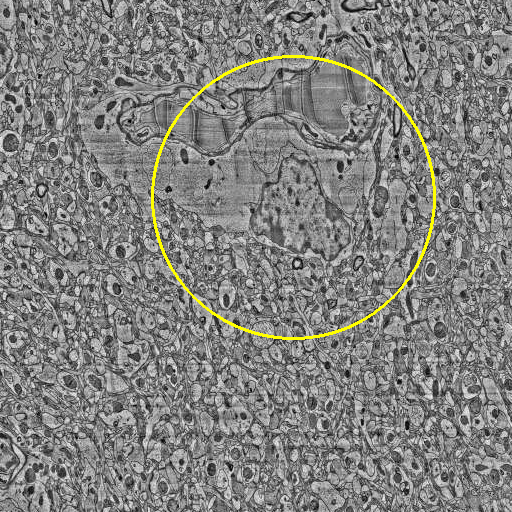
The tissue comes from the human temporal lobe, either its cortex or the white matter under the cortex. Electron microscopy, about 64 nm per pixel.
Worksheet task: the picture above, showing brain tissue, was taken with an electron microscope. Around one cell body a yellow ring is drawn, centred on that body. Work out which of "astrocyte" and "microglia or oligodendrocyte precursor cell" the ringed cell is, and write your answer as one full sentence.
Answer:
It is a microglial cell or oligodendrocyte precursor cell whose cell body lies at the centre of the yellow ring.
